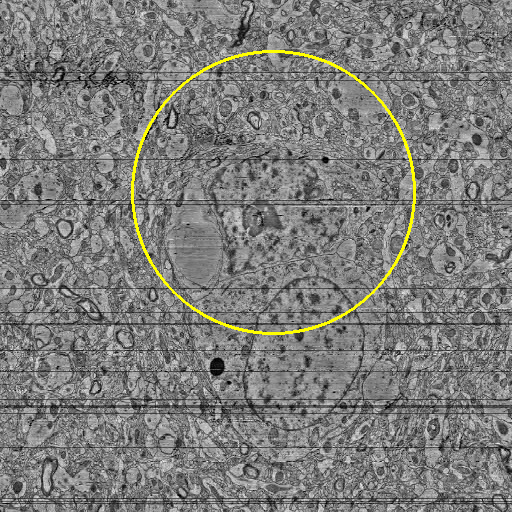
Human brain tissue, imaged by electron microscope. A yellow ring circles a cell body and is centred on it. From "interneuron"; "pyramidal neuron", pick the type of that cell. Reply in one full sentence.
The cell body at the centre of the yellow ring belongs to an interneuron.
